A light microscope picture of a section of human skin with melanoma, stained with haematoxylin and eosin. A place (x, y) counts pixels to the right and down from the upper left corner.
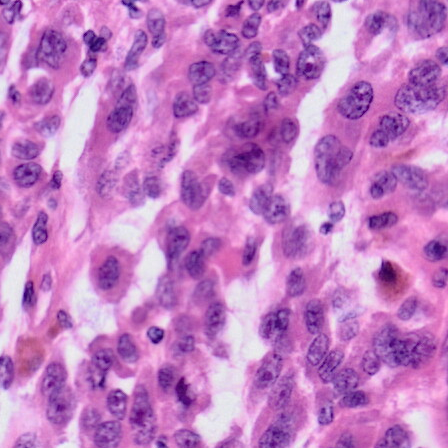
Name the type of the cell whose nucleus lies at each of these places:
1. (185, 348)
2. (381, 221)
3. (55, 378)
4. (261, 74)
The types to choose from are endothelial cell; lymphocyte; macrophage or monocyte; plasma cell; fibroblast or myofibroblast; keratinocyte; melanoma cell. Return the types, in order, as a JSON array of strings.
["melanoma cell", "macrophage or monocyte", "melanoma cell", "melanoma cell"]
